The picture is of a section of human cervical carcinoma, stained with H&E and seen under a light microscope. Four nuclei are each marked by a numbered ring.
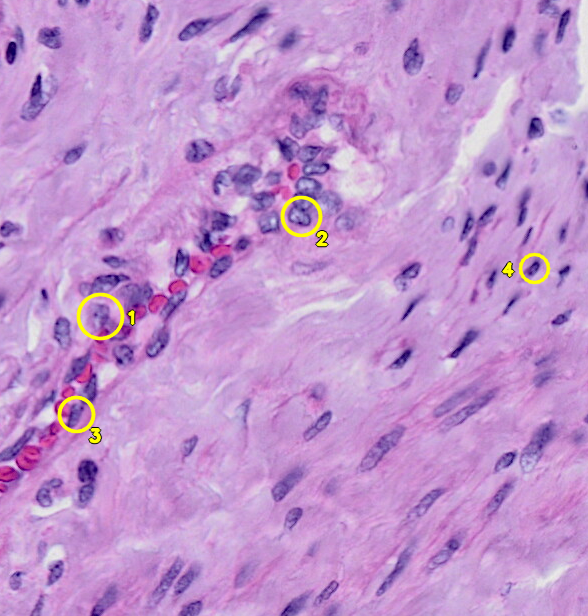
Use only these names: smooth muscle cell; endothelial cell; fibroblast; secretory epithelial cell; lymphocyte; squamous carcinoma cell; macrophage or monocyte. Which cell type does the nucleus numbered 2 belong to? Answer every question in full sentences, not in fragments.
The cell numbered 2 represents an endothelial cell.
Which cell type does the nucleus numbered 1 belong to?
The marked cell bearing number 1 is an endothelial cell.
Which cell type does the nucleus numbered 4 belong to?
The cell with the number 4 is a fibroblast.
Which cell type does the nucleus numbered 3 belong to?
The cell that is numbered 3 is an endothelial cell.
